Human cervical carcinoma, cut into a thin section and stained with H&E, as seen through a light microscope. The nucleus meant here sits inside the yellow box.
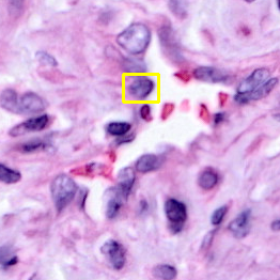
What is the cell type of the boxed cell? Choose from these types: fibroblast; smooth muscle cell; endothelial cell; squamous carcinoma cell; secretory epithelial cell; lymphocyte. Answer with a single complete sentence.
Within the stained tissue, the boxed cell is an endothelial cell.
